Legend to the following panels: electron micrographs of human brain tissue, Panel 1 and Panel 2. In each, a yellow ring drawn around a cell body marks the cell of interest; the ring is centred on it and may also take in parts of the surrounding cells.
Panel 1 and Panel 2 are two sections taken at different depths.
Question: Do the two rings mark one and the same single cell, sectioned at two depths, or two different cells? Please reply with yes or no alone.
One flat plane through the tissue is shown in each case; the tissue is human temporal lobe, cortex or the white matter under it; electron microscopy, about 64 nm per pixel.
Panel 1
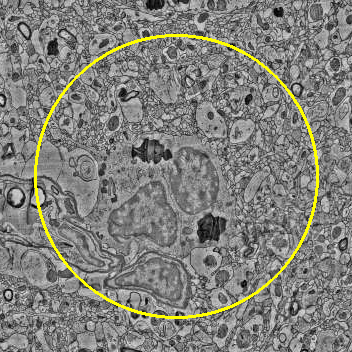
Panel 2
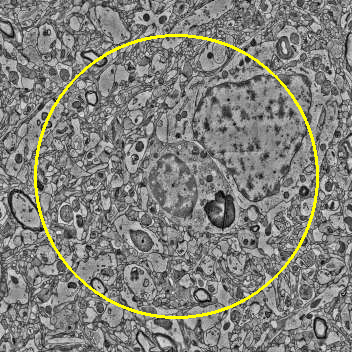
no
